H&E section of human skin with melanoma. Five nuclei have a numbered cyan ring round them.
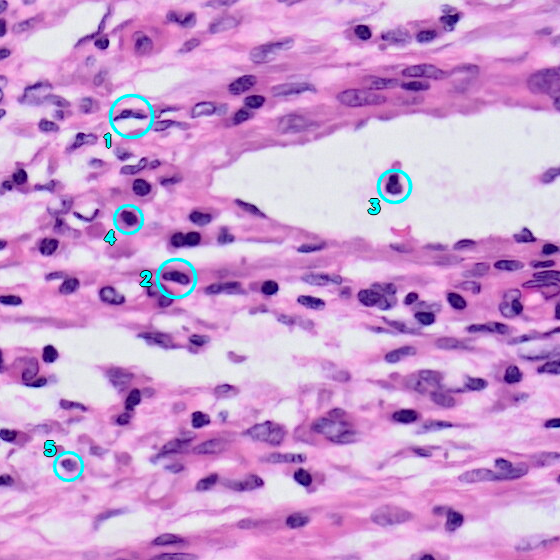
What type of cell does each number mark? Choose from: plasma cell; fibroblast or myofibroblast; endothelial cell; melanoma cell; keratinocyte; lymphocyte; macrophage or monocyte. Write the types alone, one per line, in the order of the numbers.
fibroblast or myofibroblast
plasma cell
lymphocyte
plasma cell
plasma cell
